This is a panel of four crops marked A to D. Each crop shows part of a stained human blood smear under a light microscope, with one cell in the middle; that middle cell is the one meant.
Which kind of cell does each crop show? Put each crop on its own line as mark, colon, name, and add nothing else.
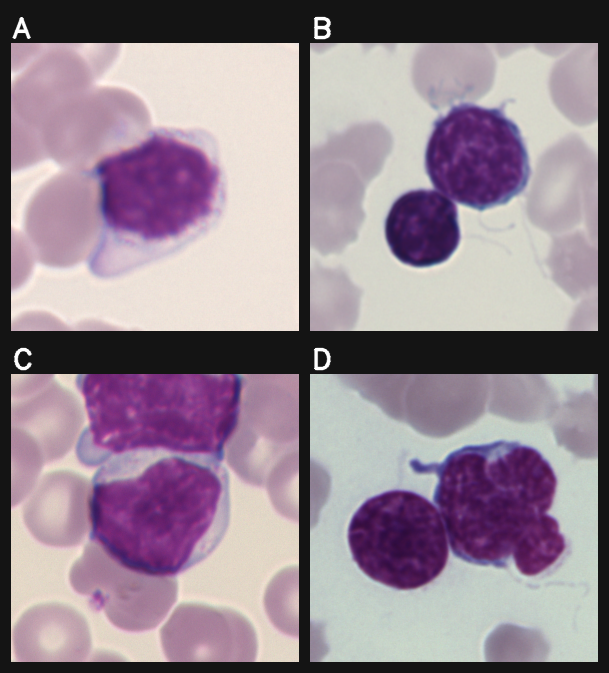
A: large granular lymphocyte
B: myeloblast
C: large granular lymphocyte
D: myeloblast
